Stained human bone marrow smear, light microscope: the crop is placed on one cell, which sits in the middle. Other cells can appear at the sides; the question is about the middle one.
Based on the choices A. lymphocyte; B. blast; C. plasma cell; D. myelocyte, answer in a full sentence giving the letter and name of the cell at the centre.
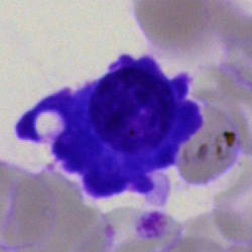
What option C states is correct, the central cell being a plasma cell.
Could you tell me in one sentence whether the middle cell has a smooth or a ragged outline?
This cell has an uneven outline, either ragged or bearing projections.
